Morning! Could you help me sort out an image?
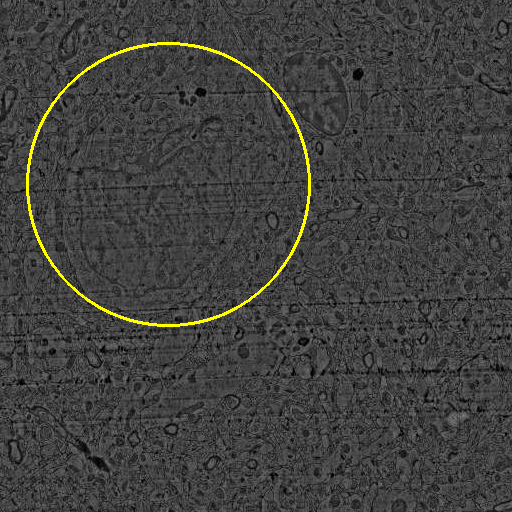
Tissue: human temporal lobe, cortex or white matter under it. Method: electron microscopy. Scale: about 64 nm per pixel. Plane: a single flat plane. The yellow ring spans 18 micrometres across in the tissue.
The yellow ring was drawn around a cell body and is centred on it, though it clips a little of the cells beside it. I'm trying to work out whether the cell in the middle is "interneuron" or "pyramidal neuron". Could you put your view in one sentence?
The ringed cell body is that of an interneuron.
